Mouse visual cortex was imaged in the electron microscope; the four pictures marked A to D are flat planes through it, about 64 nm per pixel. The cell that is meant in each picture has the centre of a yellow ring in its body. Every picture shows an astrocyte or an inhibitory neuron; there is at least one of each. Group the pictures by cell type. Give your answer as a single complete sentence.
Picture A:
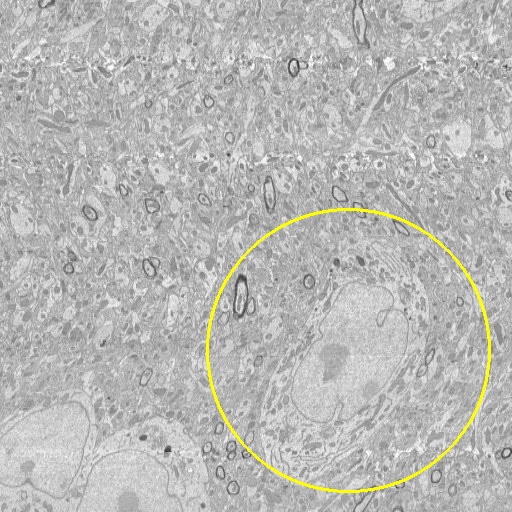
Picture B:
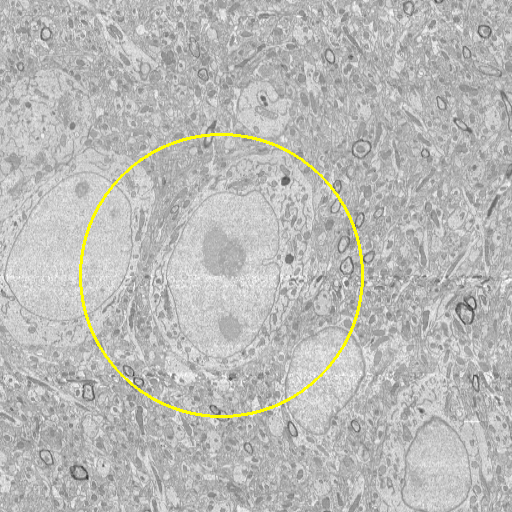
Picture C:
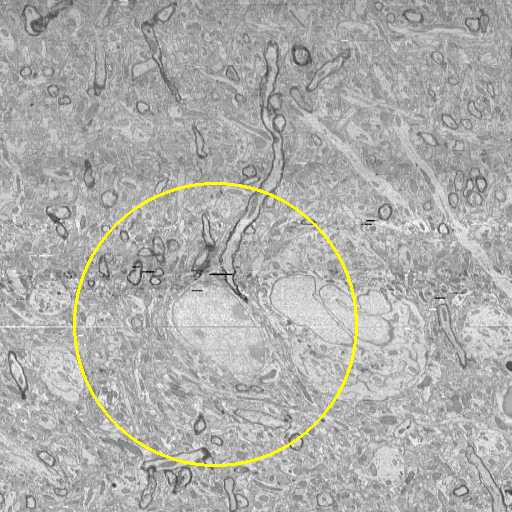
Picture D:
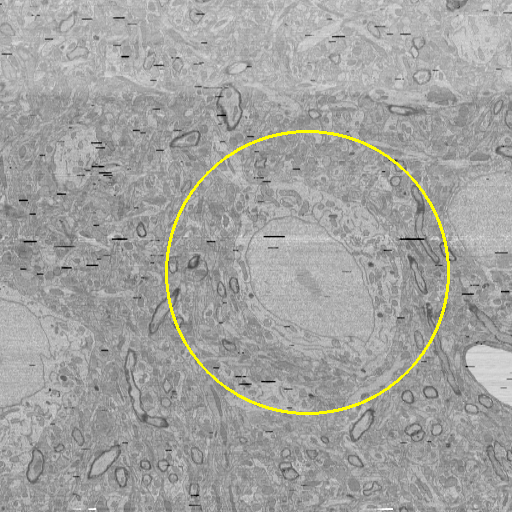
Picture C shows an astrocyte, and pictures A, B and D show inhibitory neurons.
